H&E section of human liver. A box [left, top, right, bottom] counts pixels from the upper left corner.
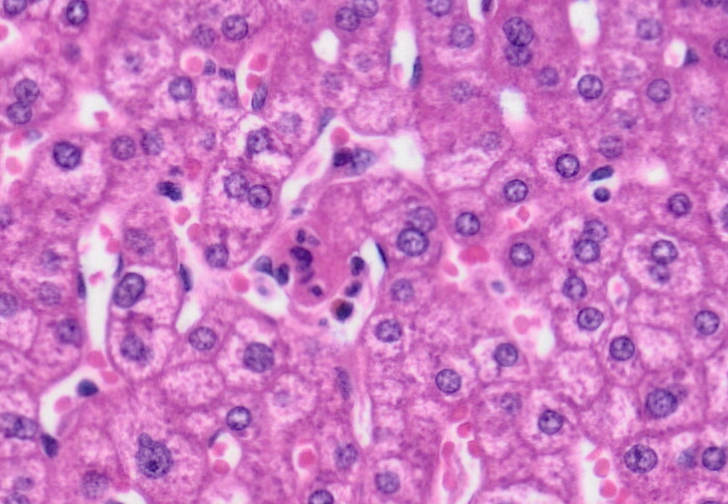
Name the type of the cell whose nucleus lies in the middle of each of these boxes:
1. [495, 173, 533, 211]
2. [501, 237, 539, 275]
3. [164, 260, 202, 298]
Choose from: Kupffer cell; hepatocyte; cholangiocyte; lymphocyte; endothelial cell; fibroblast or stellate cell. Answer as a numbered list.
1. hepatocyte
2. hepatocyte
3. endothelial cell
